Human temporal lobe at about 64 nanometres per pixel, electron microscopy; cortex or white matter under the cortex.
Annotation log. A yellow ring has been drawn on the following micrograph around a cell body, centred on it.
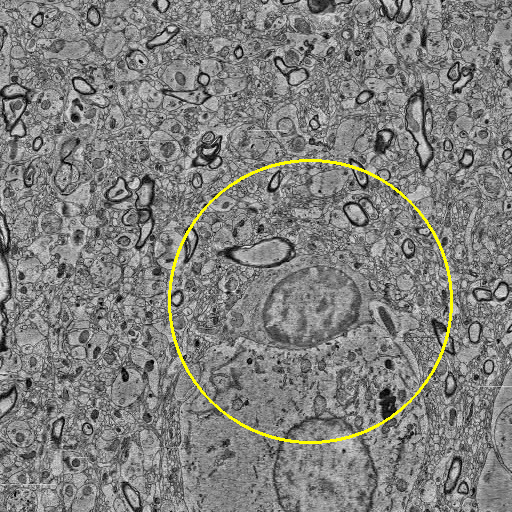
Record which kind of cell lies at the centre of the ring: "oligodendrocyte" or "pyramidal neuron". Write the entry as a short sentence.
The cell the ring is centred on is an oligodendrocyte.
